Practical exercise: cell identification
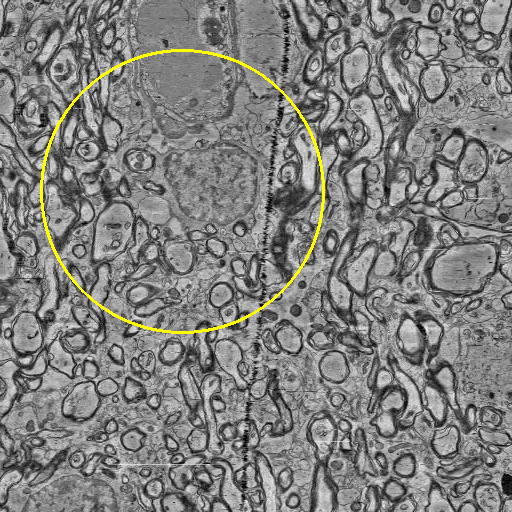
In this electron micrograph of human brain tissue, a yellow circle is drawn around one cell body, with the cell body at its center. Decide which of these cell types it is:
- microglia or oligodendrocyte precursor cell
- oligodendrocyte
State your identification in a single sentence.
The ringed cell is an oligodendrocyte.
